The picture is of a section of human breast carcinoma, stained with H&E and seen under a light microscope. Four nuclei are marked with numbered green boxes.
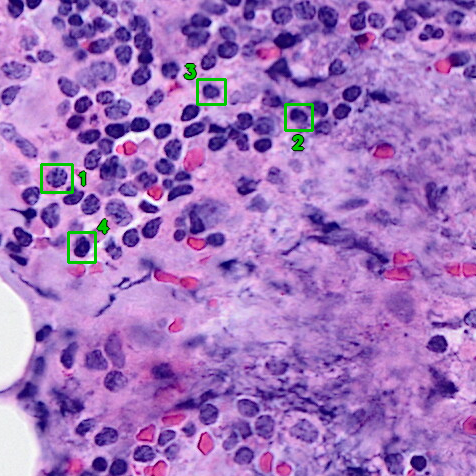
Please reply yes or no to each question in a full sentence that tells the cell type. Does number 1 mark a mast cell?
Yes, the cell tagged with the number 1 is a mast cell.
